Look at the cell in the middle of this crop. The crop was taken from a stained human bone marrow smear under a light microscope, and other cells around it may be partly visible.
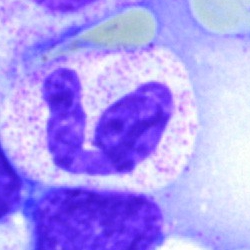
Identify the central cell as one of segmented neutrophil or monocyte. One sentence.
The cell centered in this field of view is a segmented neutrophil.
